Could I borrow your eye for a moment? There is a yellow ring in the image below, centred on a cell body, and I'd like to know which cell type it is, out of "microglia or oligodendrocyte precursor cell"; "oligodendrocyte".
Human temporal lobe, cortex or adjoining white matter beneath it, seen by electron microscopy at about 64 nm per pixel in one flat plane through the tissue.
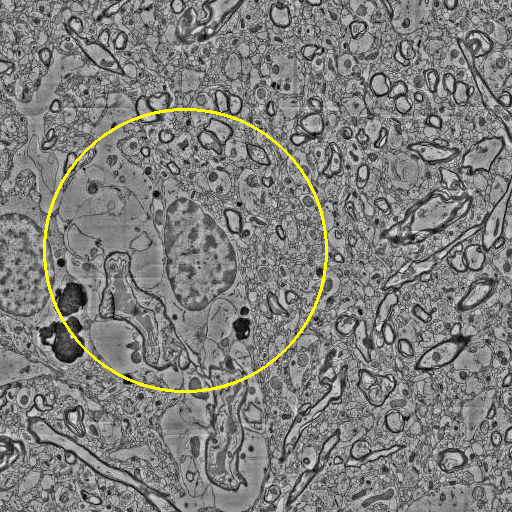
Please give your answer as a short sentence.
The cell body at the centre is that of a microglial cell or oligodendrocyte precursor cell.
